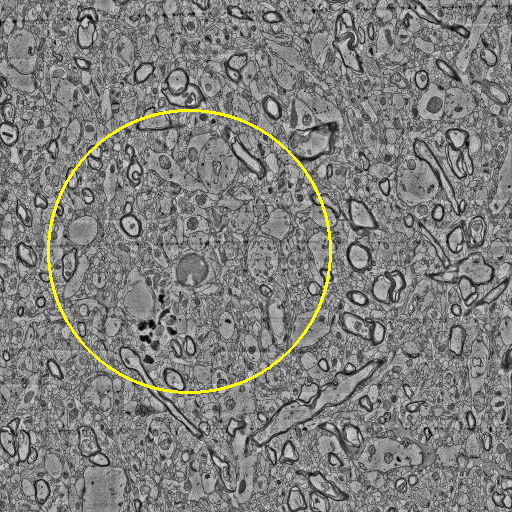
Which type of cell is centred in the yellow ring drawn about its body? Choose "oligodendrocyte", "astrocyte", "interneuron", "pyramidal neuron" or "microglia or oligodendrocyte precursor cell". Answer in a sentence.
The yellow ring surrounds the cell body of a microglial cell or oligodendrocyte precursor cell.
